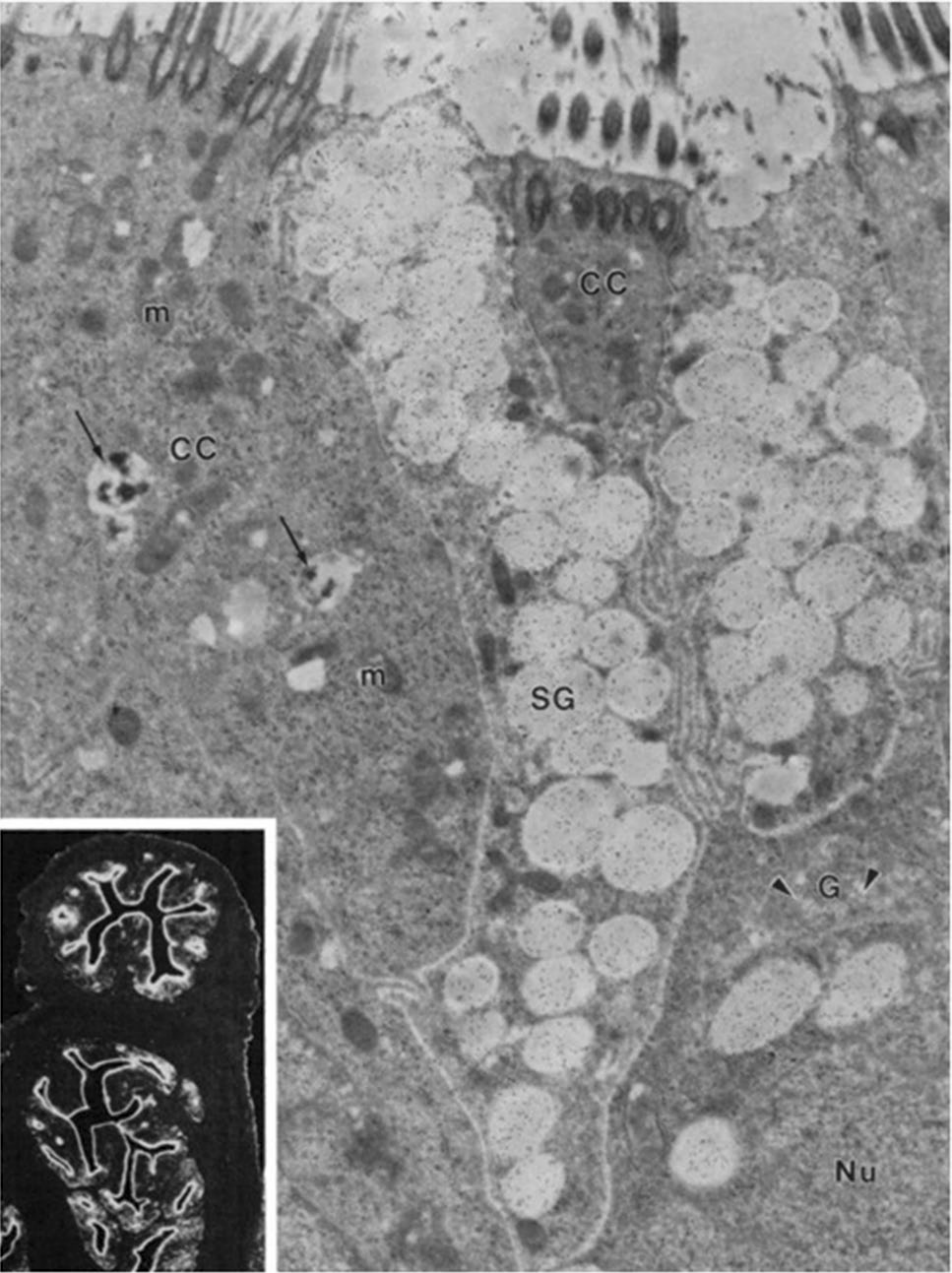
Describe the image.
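This electron micrograph shows the oviduct epithelium, with ciliated cells lying between nonciliated secretory cells. The secretory cells are packed with many large, round, pale secretory granules that are finely dotted with dense particles, and a Golgi region with small vesicles lies near the nucleus at the lower right. The ciliated cells have a darker cytoplasm with many dense, oval mitochondria, and their apical surfaces bear cilia cut in cross and longitudinal section. Small membrane-bound bodies with irregular dark contents lie in the cytoplasm of a ciliated cell.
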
